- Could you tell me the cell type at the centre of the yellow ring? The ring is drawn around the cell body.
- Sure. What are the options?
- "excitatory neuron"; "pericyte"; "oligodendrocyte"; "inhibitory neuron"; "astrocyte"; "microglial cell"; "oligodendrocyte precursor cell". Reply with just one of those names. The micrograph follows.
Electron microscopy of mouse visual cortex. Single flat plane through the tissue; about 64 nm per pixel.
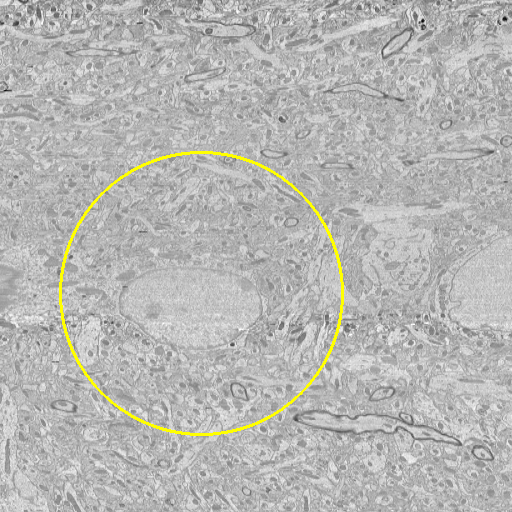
astrocyte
